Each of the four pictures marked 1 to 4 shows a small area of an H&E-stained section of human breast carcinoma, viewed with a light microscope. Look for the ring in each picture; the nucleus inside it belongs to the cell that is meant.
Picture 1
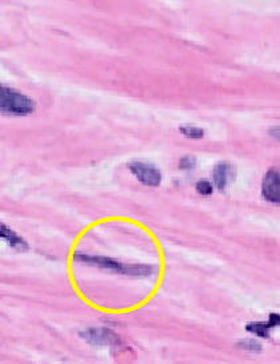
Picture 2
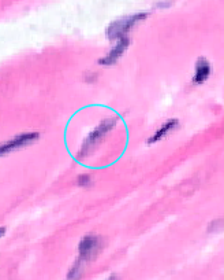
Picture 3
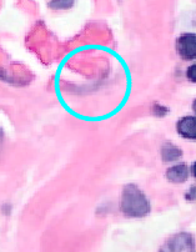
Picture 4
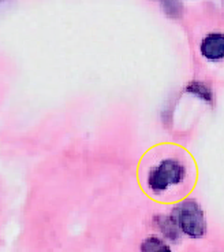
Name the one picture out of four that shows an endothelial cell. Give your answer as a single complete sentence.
Picture 3 shows the endothelial cell.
